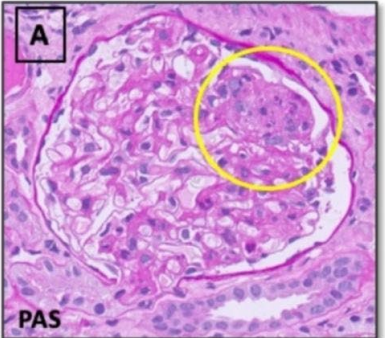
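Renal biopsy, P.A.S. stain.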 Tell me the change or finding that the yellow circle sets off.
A: Endocapillary proliferation.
